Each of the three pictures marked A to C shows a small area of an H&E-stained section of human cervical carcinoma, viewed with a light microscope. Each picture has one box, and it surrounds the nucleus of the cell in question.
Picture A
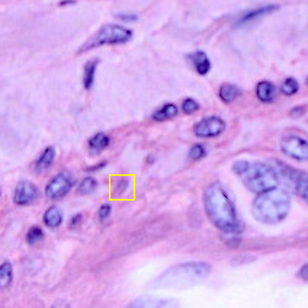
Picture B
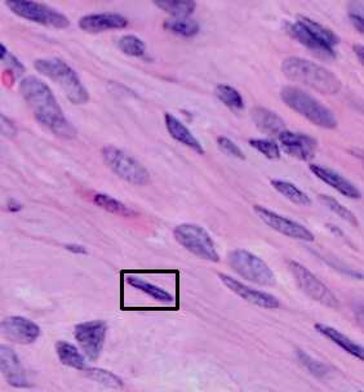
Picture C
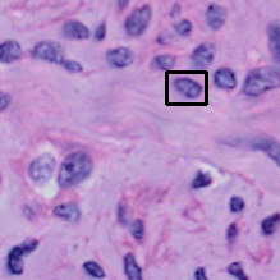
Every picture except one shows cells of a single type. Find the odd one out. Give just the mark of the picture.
B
